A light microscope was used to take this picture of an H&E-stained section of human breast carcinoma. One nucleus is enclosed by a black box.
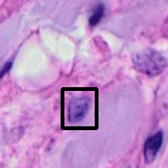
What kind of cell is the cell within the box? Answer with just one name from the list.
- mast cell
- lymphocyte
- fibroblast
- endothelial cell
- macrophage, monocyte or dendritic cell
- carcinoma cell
macrophage, monocyte or dendritic cell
